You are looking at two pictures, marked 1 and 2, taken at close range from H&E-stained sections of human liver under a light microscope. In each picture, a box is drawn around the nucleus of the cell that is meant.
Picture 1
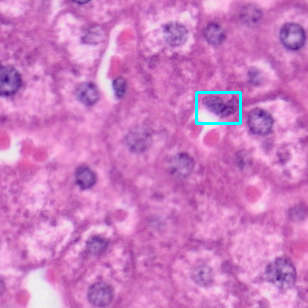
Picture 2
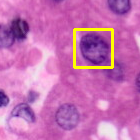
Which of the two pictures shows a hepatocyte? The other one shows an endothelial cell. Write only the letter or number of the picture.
2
